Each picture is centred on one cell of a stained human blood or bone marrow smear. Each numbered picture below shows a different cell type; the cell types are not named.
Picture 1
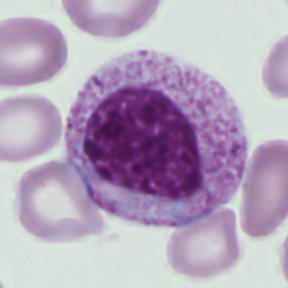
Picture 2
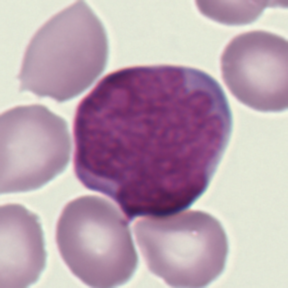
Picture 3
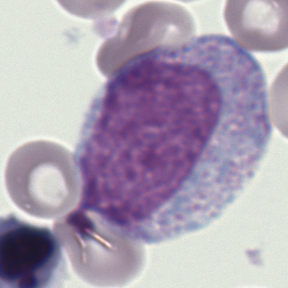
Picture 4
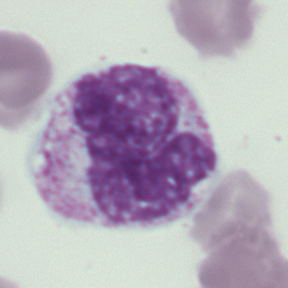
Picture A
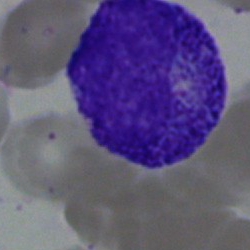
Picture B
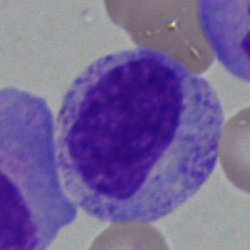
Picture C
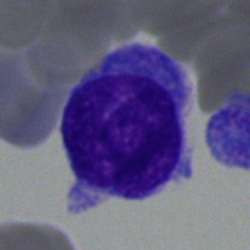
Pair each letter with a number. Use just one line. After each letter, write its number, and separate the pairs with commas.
A 1, B 1, C 2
